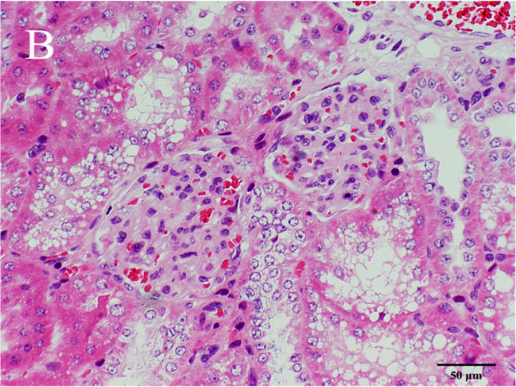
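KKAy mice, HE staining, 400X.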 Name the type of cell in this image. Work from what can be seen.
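Cuboidal cells with round central nuclei line tubular profiles. The tubules surround two glomeruli.
Conclusion: renal tubular epithelial cells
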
